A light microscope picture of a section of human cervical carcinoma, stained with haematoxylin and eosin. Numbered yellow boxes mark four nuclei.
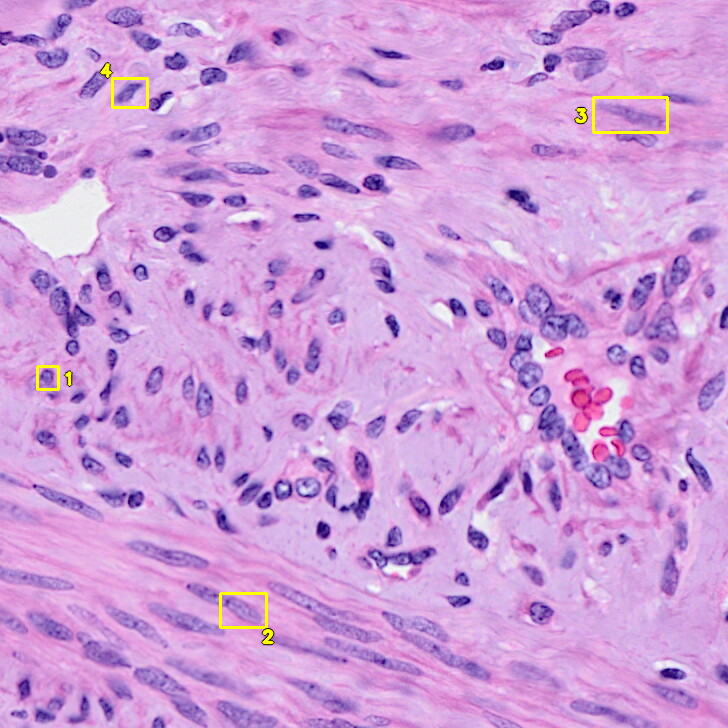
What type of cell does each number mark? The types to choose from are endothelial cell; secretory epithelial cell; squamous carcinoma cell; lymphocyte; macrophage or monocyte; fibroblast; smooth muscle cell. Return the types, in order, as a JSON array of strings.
["smooth muscle cell", "smooth muscle cell", "smooth muscle cell", "fibroblast"]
